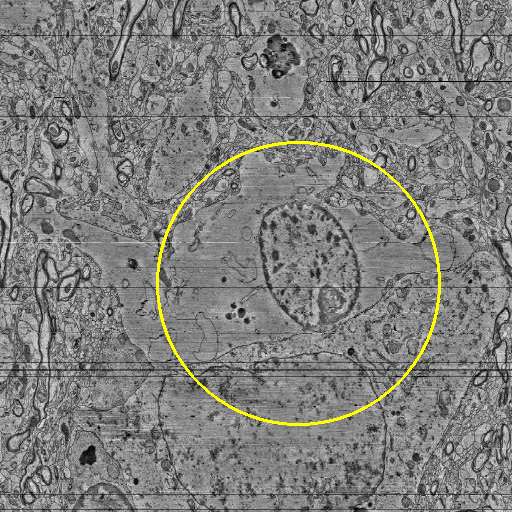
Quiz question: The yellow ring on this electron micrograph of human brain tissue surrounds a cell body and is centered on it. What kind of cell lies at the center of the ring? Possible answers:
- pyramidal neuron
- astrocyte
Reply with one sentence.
The ring's center lies on an astrocyte.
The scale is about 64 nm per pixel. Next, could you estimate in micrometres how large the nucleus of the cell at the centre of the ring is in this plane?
In this plane the nucleus measures roughly 9 by 6 micrometers.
